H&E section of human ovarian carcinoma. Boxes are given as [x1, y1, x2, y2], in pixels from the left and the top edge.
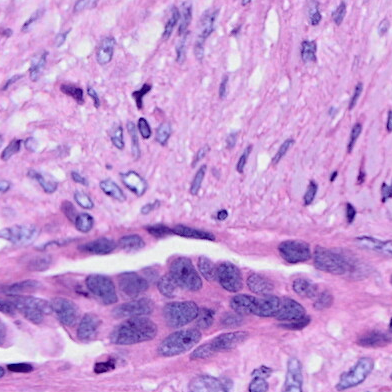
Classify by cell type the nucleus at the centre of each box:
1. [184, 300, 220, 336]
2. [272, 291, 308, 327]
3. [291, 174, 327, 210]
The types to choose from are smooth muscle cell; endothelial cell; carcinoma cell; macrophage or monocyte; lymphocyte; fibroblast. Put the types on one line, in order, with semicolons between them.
carcinoma cell; carcinoma cell; fibroblast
